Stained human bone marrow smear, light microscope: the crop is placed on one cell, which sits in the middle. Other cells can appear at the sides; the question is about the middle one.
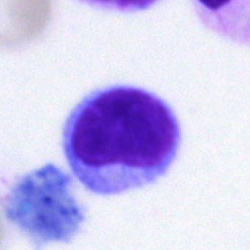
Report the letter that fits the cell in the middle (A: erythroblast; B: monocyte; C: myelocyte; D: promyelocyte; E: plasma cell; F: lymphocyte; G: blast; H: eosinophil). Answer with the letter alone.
F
